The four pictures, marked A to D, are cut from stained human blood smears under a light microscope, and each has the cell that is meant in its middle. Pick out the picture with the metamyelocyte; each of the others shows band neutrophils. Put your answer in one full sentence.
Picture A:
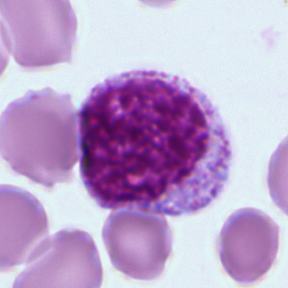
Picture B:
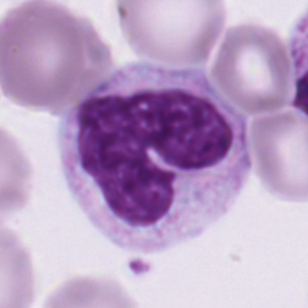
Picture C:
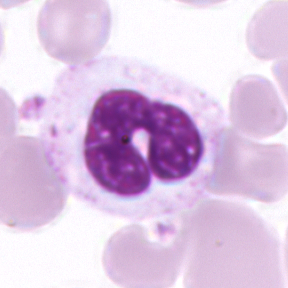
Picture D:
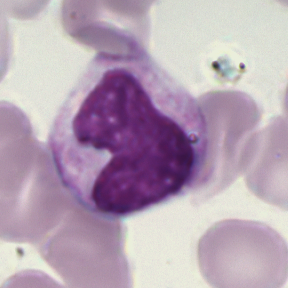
The cell in picture A is the metamyelocyte.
